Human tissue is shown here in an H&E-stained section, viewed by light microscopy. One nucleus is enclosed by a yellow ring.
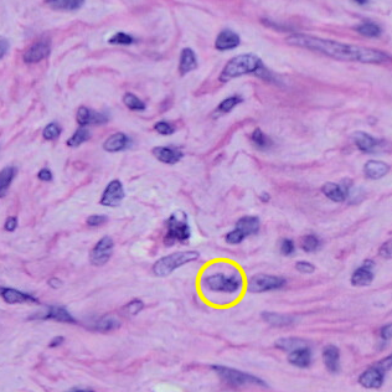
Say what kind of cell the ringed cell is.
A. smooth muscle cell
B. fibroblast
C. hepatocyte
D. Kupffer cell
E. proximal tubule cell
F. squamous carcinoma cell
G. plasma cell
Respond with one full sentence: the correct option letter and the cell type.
The correct response is option A: the ringed cell is a smooth muscle cell.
